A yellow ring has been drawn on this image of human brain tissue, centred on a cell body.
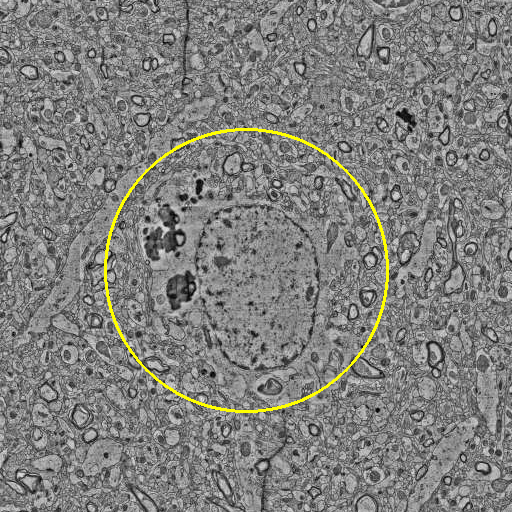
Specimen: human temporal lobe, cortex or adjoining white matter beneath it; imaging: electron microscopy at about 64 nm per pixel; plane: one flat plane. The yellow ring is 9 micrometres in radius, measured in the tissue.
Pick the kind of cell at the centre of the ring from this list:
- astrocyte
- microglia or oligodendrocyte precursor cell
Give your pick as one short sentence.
The centre of the ring holds an astrocyte.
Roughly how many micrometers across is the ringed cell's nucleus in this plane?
Roughly 11 by 8 micrometres in this plane, for the nucleus of the ringed cell.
